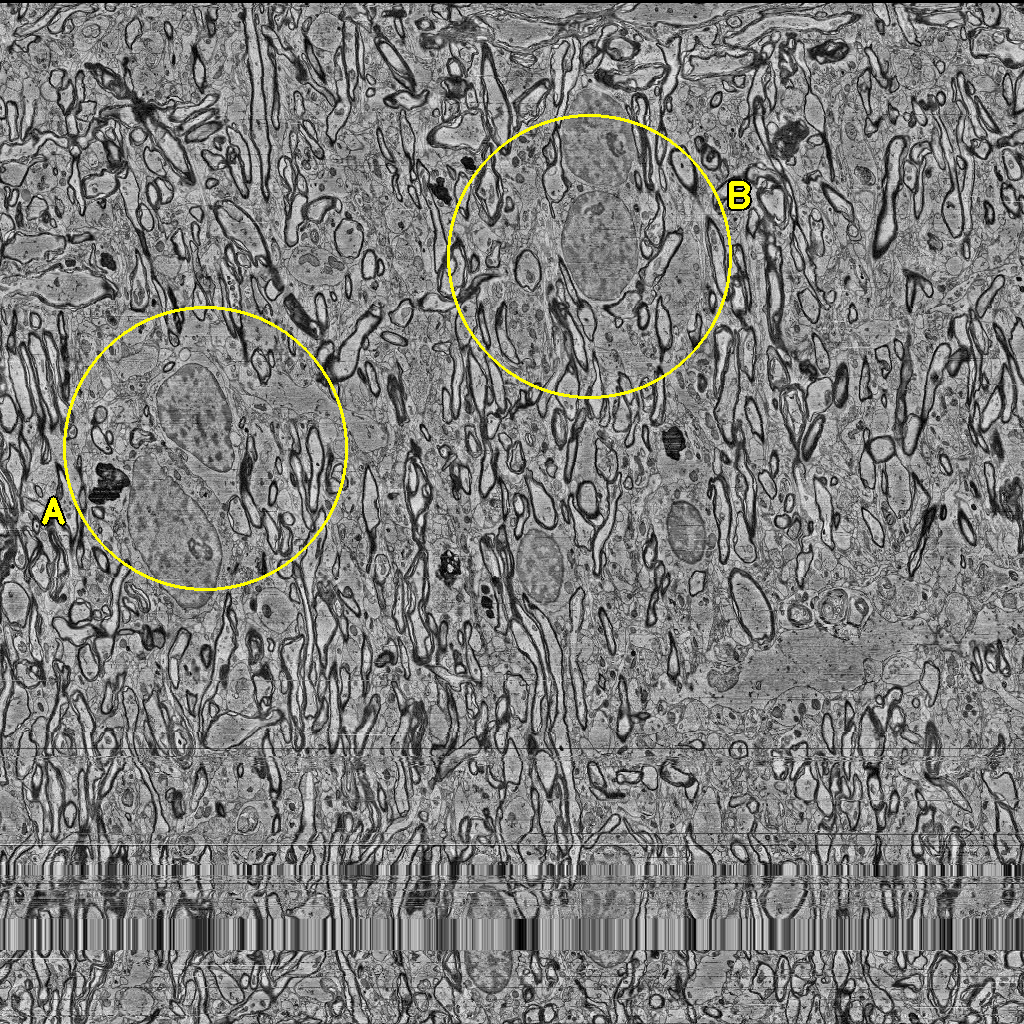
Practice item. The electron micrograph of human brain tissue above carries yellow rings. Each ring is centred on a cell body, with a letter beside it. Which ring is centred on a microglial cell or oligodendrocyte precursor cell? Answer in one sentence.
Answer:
Ring A is centred on it.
